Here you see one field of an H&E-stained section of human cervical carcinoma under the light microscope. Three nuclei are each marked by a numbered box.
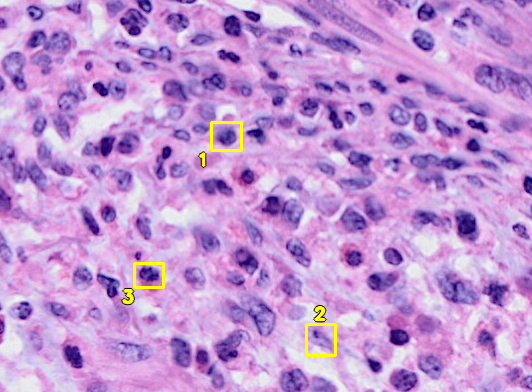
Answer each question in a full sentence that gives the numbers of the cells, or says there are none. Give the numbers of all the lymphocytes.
Cells that were given the numbers 1 and 3 are lymphocytes.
